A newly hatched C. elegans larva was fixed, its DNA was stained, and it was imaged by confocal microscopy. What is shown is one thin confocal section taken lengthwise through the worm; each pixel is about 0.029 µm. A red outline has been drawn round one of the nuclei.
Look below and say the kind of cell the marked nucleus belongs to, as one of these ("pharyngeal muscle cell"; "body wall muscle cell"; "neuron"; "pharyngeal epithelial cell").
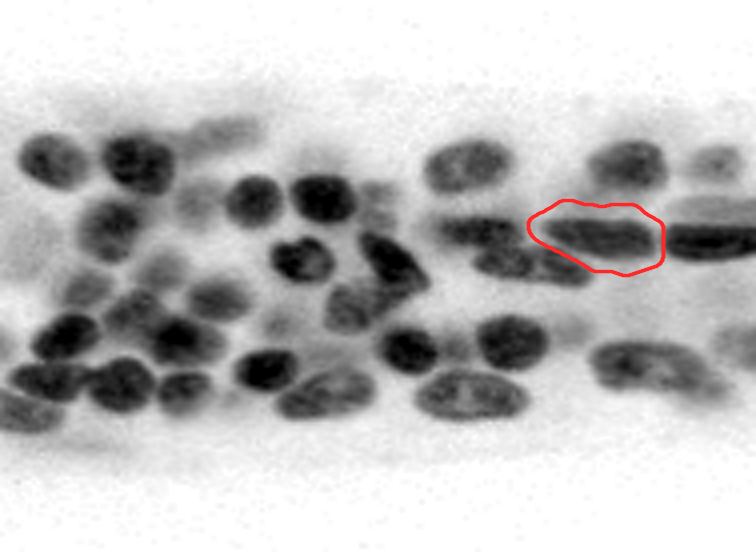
pharyngeal epithelial cell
